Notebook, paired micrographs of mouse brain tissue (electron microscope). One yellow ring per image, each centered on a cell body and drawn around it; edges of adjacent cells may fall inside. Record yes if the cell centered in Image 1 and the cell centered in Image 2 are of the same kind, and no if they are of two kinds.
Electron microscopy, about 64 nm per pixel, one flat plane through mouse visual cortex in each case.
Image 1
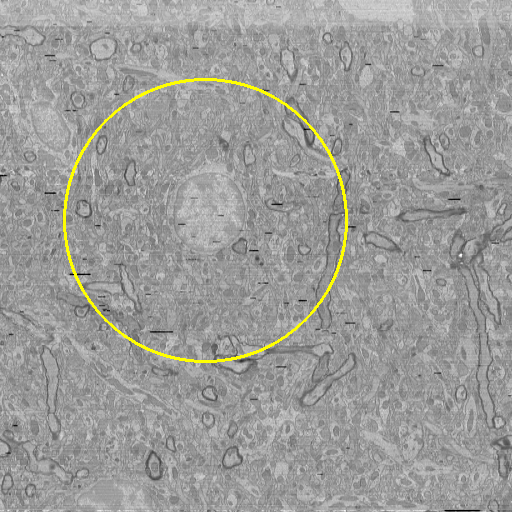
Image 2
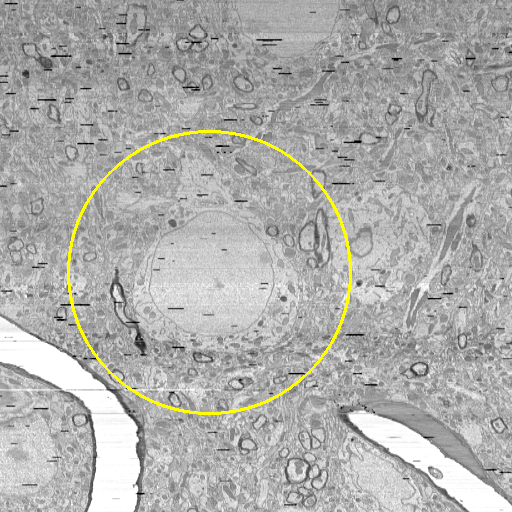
no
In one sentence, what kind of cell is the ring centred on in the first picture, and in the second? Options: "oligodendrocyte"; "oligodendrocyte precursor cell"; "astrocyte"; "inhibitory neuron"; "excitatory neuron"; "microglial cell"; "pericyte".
The cell at the centre of the second ring is an excitatory neuron; the first ring's cell is an oligodendrocyte.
